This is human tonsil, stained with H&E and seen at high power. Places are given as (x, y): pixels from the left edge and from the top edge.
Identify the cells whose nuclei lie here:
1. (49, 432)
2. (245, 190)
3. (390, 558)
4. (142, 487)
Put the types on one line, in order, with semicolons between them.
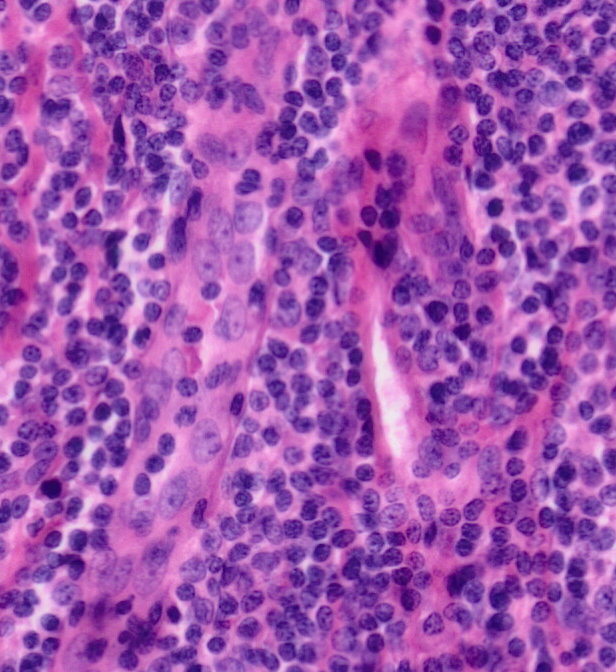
plasma cell; endothelial cell; small lymphocyte; endothelial cell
